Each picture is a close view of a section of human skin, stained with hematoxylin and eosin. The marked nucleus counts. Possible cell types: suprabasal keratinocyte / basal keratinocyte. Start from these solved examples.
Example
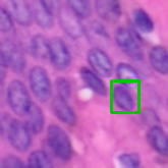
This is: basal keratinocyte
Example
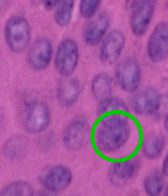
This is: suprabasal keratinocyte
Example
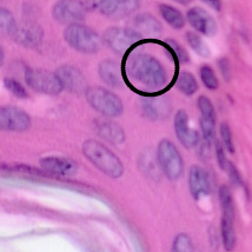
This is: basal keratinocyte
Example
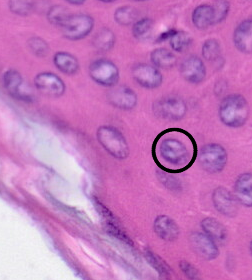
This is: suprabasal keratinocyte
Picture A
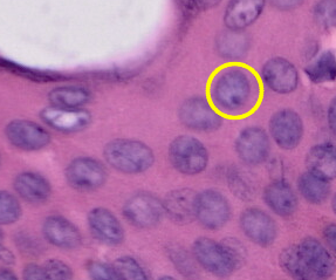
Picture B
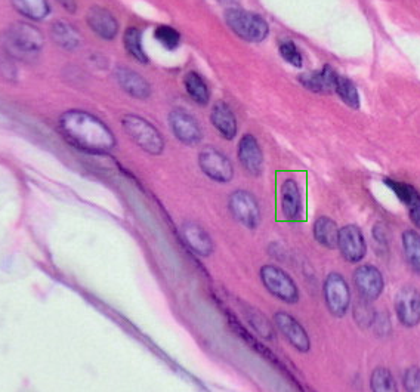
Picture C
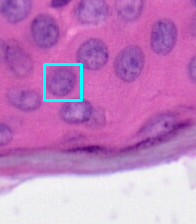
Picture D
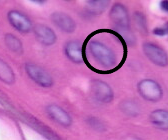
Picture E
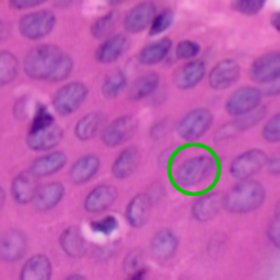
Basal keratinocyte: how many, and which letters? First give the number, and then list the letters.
1: B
